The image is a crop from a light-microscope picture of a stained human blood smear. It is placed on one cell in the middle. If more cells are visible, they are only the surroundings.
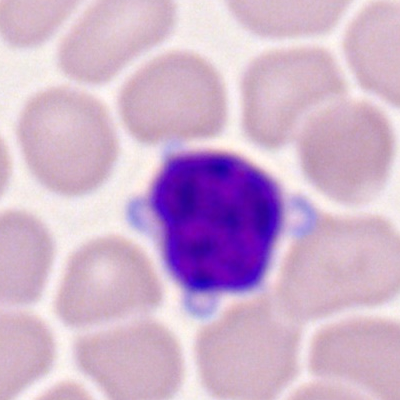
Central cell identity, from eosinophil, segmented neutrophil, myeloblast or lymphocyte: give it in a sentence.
The cell that lies at the centre of the crop is a lymphocyte.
